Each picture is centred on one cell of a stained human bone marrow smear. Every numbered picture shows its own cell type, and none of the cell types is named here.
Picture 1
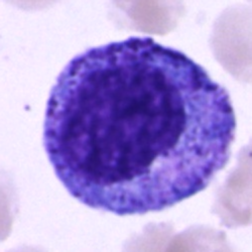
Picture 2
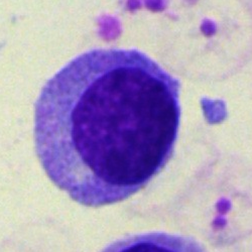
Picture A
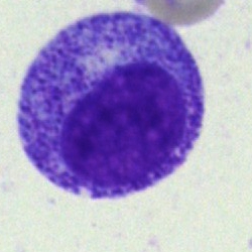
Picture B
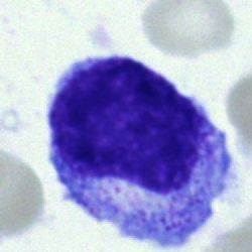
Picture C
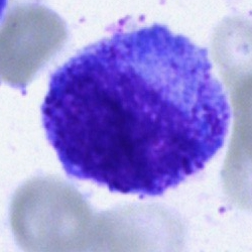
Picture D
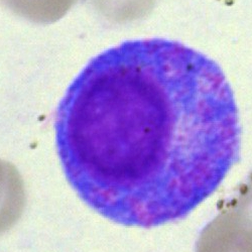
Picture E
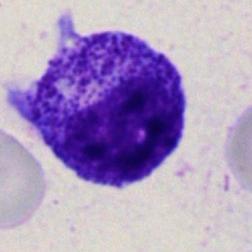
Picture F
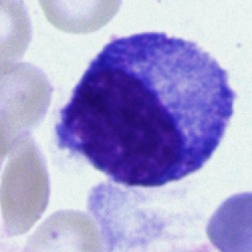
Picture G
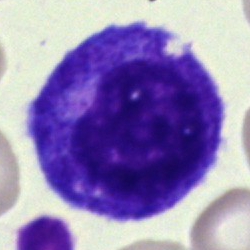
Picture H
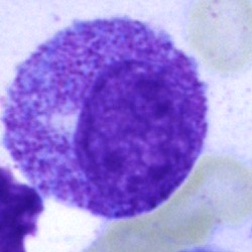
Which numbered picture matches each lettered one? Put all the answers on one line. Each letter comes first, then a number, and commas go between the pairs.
A 2, B 2, C 1, D 1, E 2, F 1, G 1, H 2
